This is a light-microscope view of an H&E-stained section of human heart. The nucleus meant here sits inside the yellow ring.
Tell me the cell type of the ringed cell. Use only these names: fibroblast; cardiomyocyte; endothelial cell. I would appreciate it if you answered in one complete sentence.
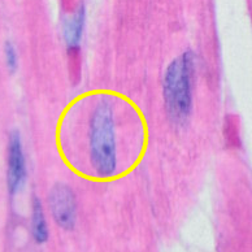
Histopathologically, the ringed cell is a cardiomyocyte.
